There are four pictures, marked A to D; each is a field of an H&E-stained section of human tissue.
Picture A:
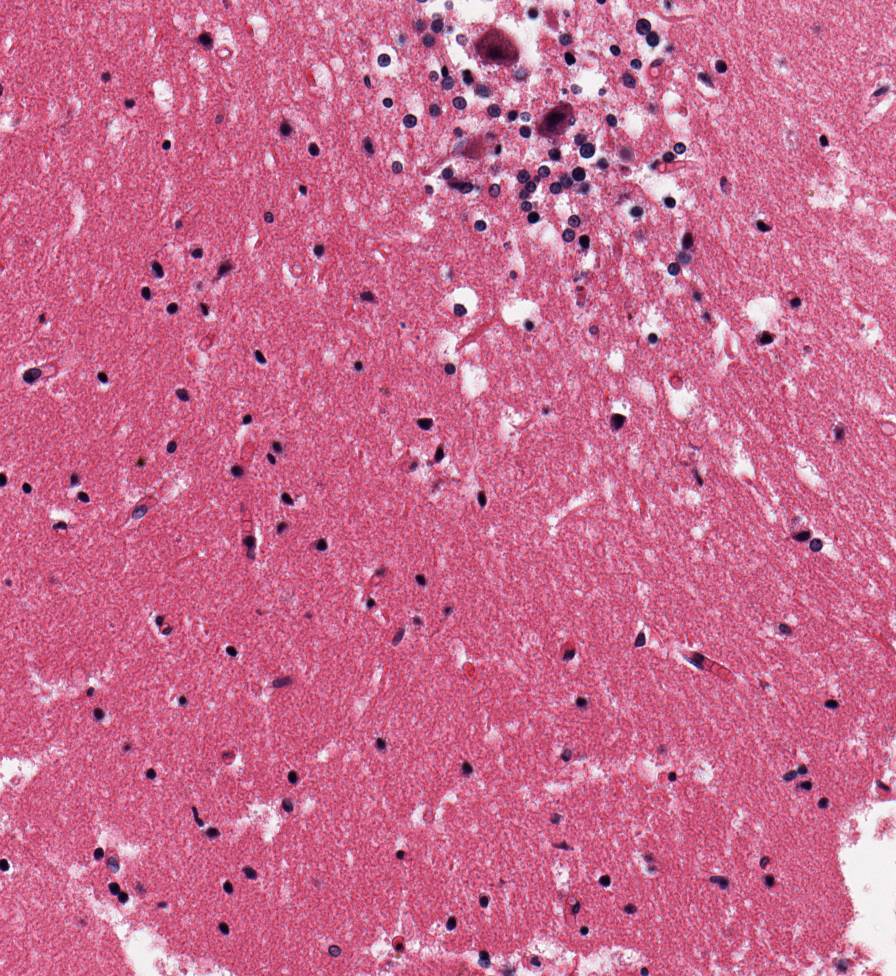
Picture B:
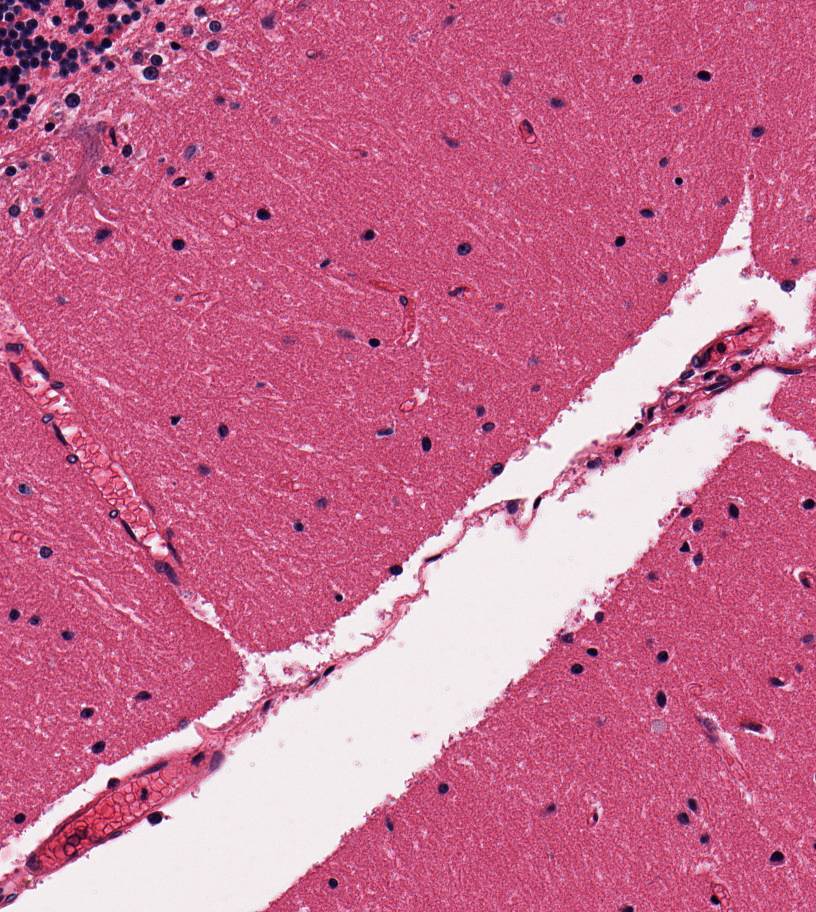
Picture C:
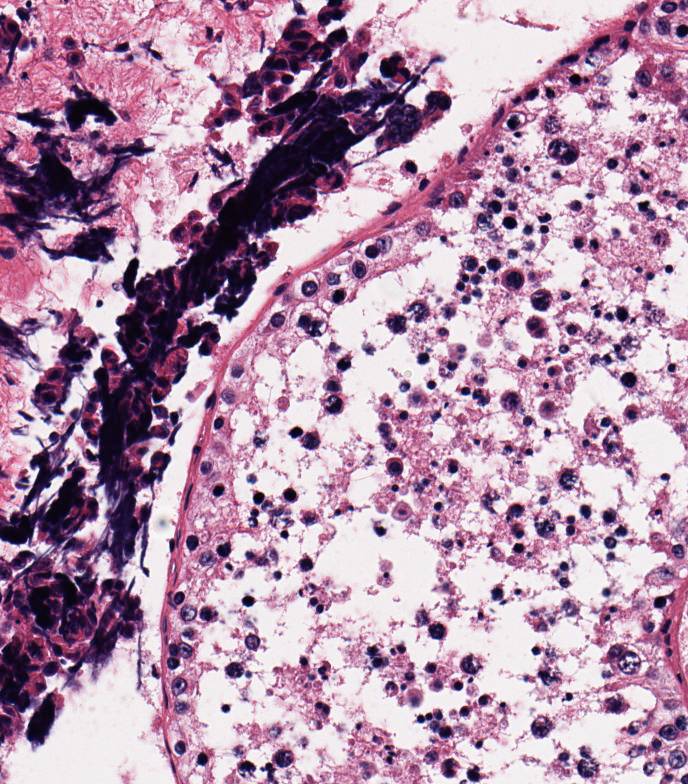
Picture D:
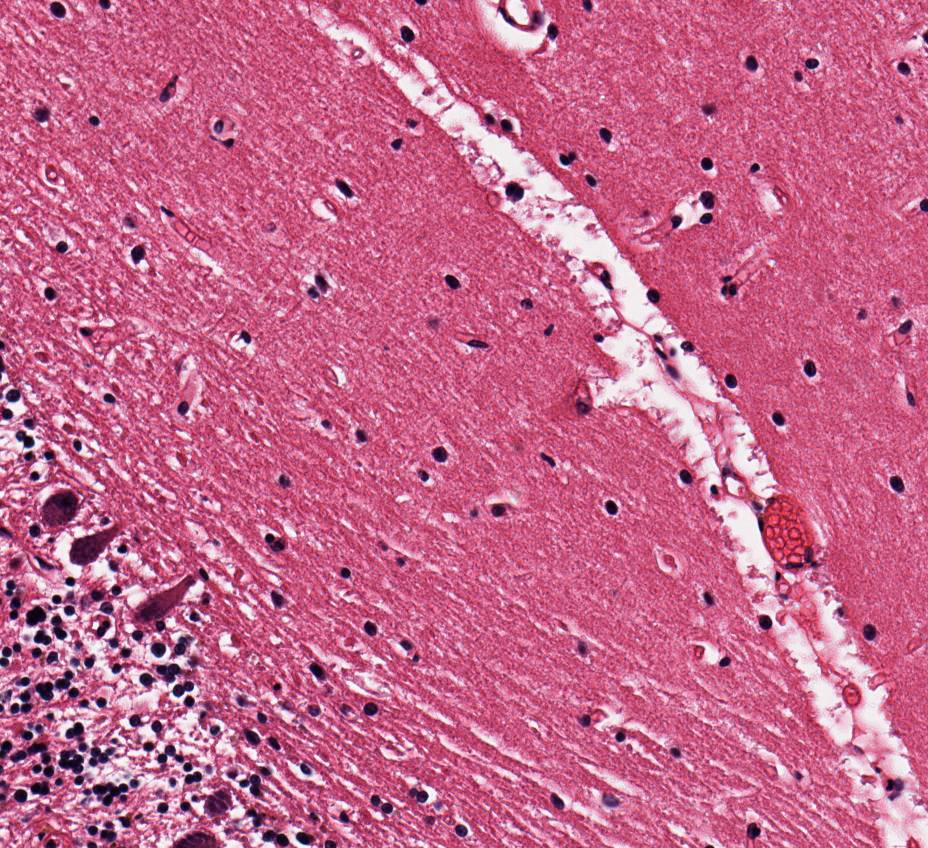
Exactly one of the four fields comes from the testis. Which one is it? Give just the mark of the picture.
C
